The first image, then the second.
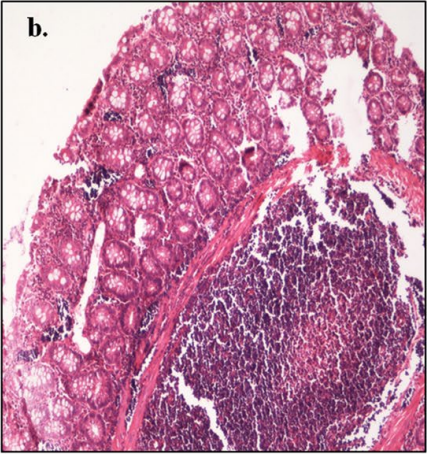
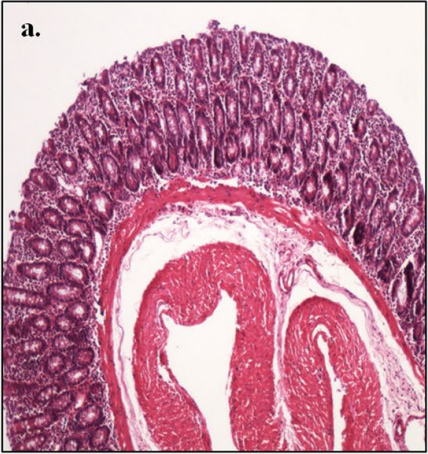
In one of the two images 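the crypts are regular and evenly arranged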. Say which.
The second image.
